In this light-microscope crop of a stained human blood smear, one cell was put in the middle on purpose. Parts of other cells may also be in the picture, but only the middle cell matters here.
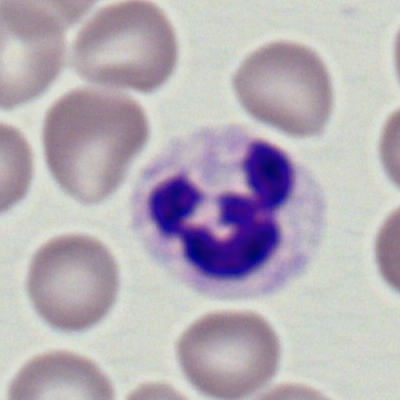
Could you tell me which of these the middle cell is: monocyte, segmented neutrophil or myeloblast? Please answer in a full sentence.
The cell around which this crop is centred is a segmented neutrophil.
